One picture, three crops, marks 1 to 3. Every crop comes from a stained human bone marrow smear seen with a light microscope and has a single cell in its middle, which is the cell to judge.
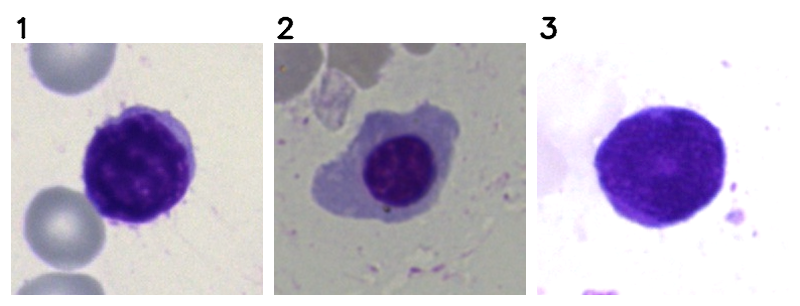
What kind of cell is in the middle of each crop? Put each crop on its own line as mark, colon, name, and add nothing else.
1: lymphocyte
2: erythroblast
3: blast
